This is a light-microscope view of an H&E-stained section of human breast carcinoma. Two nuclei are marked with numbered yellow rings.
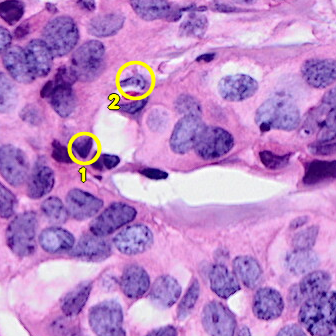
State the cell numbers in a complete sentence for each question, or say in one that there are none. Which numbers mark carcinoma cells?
Only nucleus 1 belongs to a carcinoma cell; the other numbered nuclei do not.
